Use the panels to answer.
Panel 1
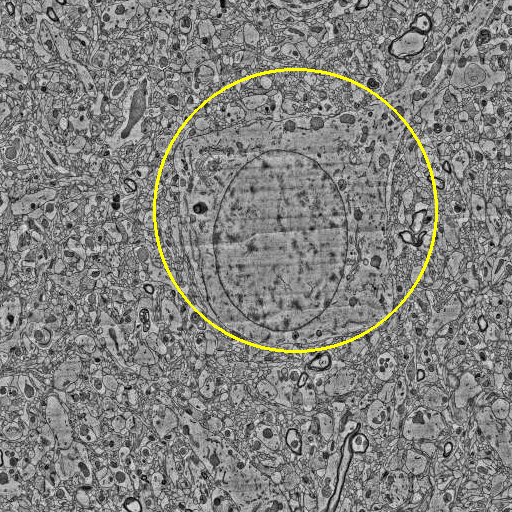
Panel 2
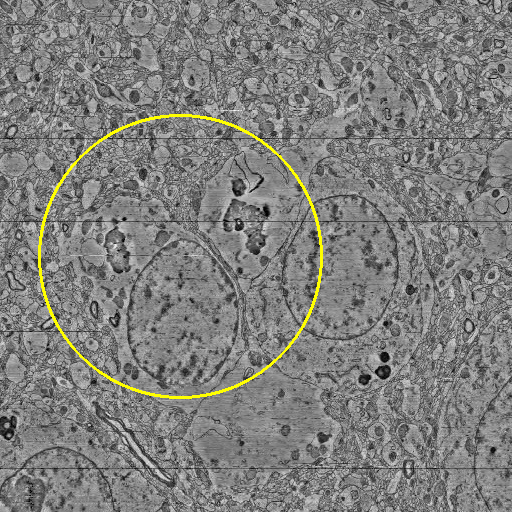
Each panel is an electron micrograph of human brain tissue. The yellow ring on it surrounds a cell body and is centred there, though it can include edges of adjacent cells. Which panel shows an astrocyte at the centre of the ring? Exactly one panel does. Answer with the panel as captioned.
Panel 2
